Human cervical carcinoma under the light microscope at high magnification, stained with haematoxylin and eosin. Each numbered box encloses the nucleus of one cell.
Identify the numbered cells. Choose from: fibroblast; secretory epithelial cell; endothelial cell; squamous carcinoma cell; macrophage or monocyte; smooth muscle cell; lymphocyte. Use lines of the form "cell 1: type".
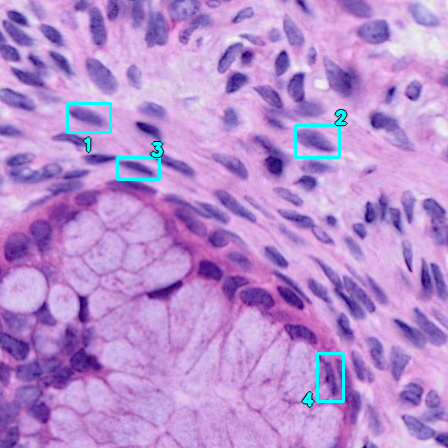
cell 1: fibroblast
cell 2: fibroblast
cell 3: fibroblast
cell 4: secretory epithelial cell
